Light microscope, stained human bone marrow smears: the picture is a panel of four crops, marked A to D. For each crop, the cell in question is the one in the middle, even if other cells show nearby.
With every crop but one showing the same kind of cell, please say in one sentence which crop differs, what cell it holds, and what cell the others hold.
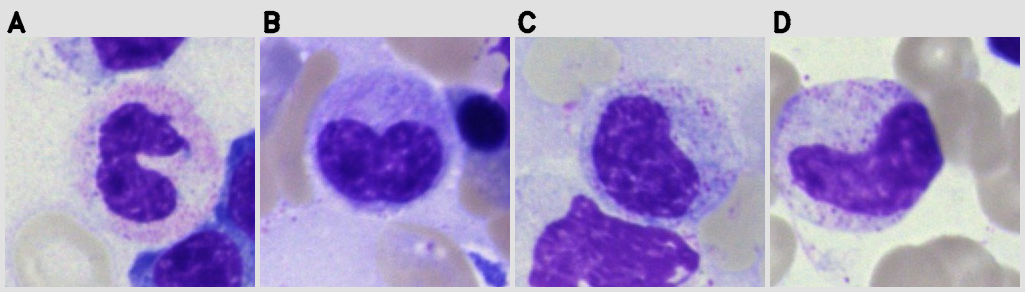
The set is made up of metamyelocytes, with the single exception of crop A, which is a band neutrophil.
